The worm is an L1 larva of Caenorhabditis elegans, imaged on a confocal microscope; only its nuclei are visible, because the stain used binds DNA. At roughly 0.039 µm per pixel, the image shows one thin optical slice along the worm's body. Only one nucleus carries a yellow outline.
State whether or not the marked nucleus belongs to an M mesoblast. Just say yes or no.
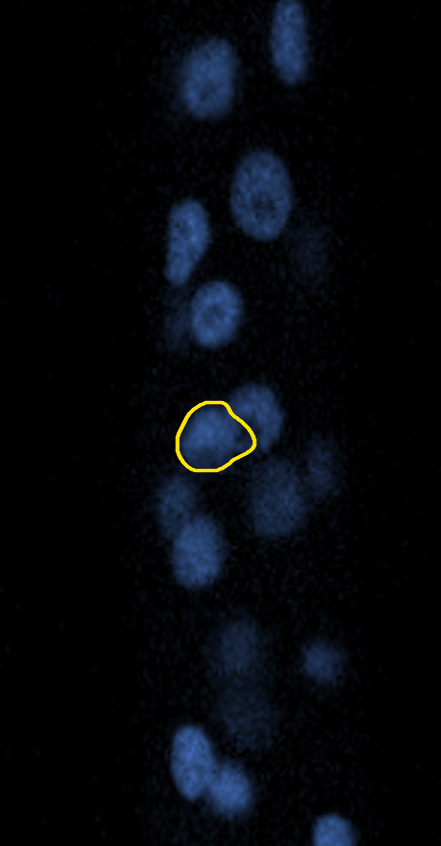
no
